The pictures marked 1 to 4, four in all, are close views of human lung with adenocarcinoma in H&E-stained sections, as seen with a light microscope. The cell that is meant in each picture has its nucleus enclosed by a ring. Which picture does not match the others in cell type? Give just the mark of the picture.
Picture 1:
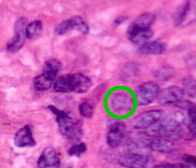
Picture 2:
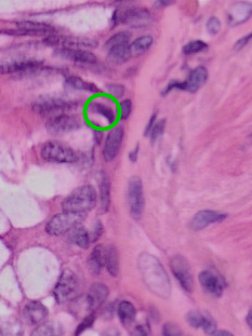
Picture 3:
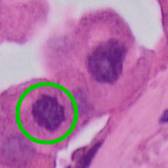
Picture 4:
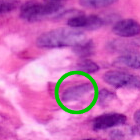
3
